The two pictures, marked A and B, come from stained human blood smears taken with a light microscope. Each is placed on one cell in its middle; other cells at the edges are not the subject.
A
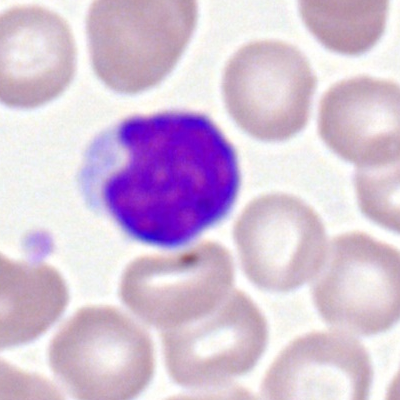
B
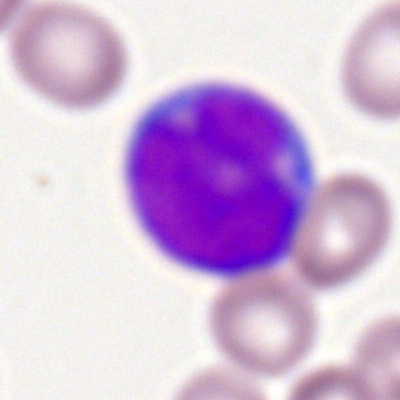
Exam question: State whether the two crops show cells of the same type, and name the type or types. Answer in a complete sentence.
No, a lymphocyte occupies the middle of crop A, and a blast the middle of crop B.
